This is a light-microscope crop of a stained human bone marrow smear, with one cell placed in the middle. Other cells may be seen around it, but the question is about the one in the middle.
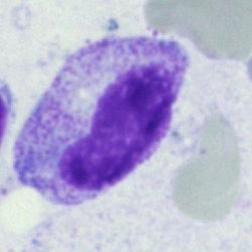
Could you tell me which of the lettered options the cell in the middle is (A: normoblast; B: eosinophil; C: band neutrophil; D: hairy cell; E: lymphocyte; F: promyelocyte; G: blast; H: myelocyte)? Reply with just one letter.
C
